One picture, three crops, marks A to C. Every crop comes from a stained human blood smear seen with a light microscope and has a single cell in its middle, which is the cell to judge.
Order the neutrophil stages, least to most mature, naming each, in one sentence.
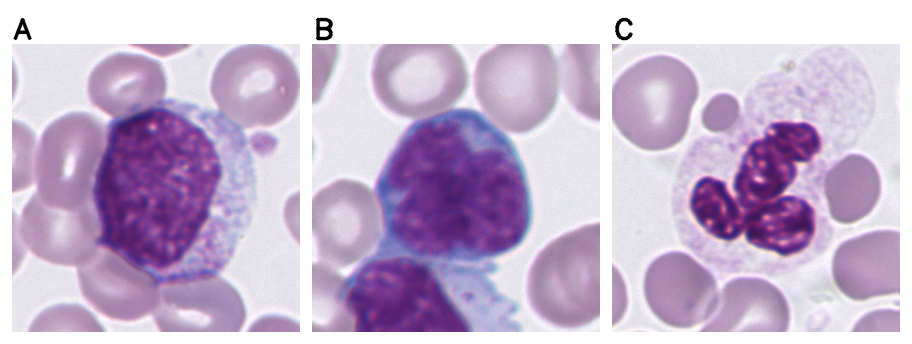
Along the maturation pathway, from earliest to latest, the order is crop B (a myeloblast), crop A (a myelocyte) and crop C (a segmented neutrophil).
